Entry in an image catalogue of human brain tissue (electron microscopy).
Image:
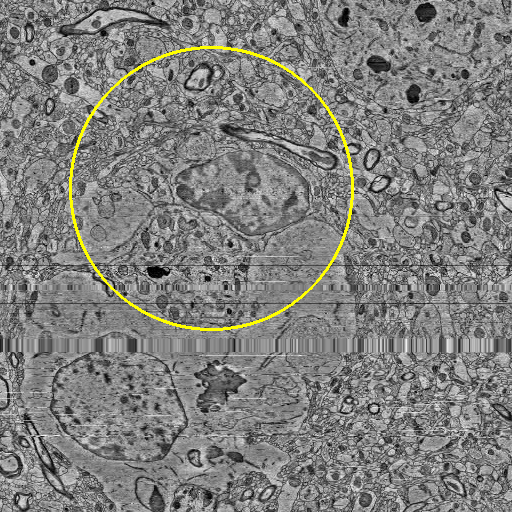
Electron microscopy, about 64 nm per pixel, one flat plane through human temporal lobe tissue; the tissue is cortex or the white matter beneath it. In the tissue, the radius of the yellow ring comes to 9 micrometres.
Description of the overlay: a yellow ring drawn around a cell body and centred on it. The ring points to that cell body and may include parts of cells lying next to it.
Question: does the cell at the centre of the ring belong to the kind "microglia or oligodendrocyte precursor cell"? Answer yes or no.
yes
